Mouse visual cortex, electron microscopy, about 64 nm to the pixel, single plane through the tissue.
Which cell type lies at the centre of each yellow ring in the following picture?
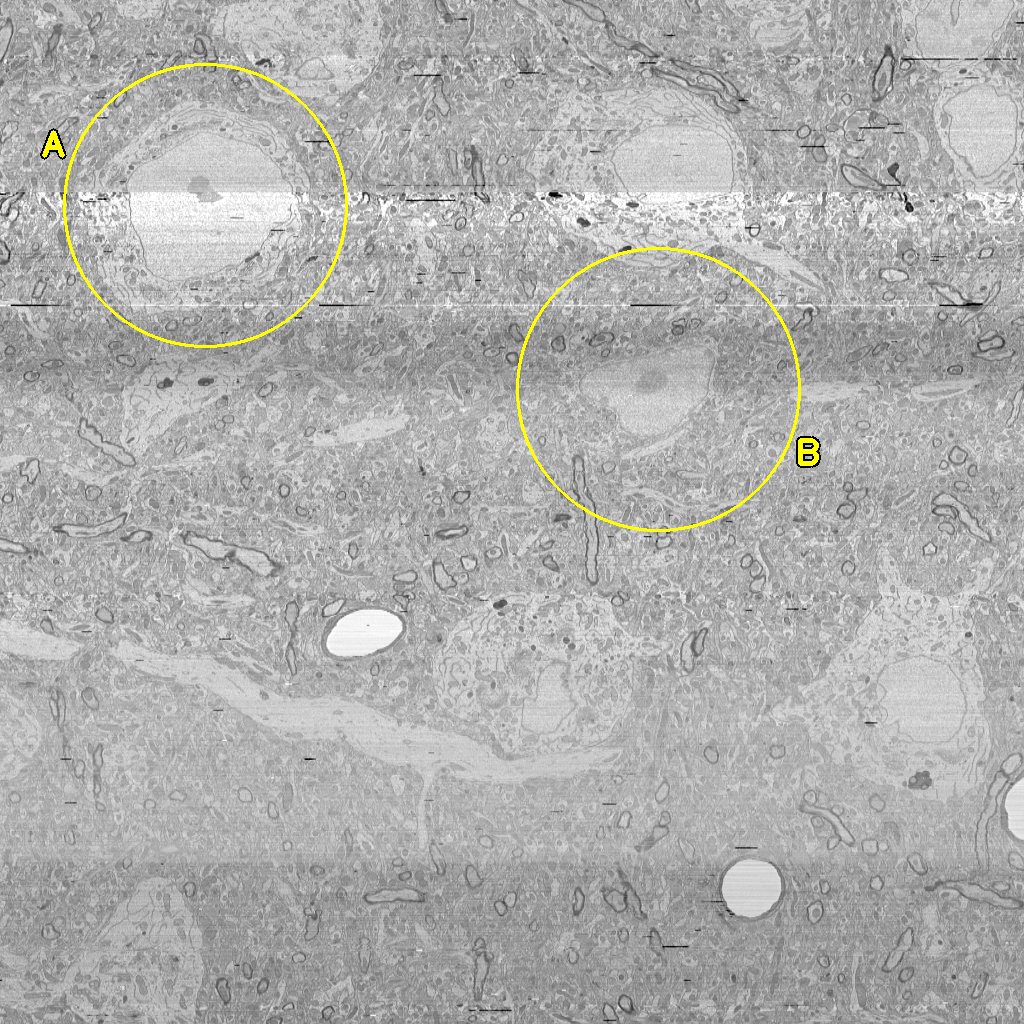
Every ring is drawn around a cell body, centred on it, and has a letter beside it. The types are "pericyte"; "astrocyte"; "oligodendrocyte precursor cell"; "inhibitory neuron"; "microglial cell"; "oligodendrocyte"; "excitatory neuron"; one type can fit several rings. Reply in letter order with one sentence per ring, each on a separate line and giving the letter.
Ring A marks the cell body of an excitatory neuron.
Ring B marks the cell body of an astrocyte.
